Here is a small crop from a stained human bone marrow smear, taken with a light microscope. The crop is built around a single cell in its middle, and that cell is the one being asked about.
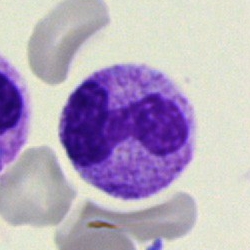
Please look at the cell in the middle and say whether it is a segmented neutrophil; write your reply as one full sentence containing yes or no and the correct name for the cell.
No, the central cell qualifies as a band neutrophil rather than as a segmented neutrophil.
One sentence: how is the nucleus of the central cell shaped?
Its nucleus is lobed, with at least two separate segments.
